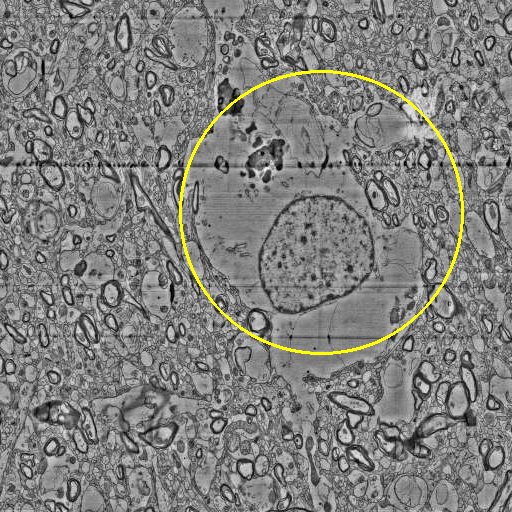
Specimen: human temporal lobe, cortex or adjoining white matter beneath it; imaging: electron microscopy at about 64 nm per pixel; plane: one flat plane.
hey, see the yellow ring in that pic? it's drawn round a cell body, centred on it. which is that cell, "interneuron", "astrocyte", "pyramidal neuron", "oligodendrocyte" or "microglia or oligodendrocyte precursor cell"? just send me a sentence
The cell in the ring is an astrocyte.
